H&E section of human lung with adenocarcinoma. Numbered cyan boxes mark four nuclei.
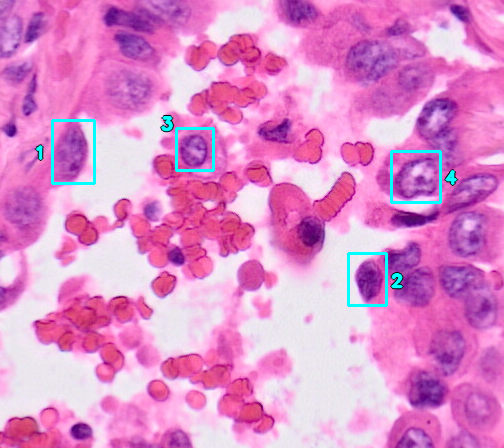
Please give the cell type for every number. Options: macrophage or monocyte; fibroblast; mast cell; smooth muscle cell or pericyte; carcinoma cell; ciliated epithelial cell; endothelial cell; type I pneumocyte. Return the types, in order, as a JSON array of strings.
["carcinoma cell", "carcinoma cell", "macrophage or monocyte", "carcinoma cell"]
